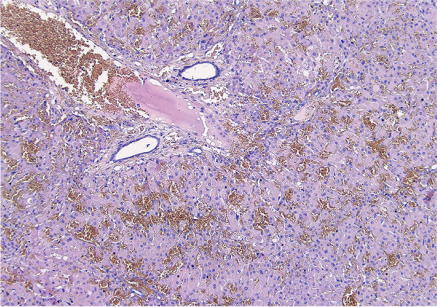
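This section of liver shows a disrupted parenchyma in which the spaces between hepatocytes are widened and filled with red-brown red blood cells. The congested blood is spread in patches throughout the tissue rather than held within vessels. Hepatocytes appear pale, with faded cytoplasm and a loss of the orderly plate arrangement. A large vessel at the upper left contains abundant blood, and small ducts or vessels with clear lumens lie nearby in the portal area.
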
